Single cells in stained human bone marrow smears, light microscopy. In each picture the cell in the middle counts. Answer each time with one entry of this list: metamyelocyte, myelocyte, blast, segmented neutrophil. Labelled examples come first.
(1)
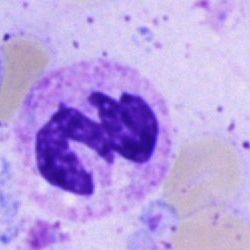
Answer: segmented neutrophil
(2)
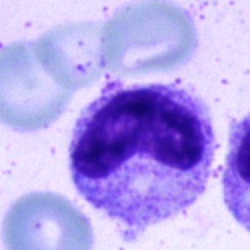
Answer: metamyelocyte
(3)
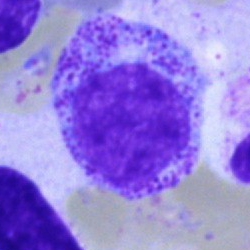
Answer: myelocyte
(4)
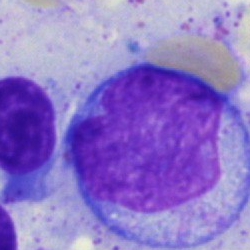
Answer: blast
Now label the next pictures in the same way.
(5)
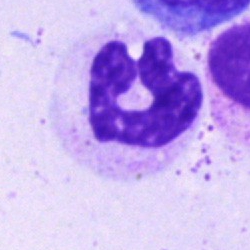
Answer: segmented neutrophil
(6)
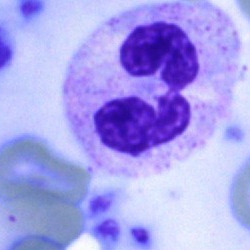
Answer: segmented neutrophil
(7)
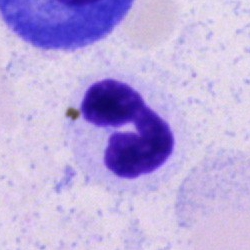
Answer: segmented neutrophil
